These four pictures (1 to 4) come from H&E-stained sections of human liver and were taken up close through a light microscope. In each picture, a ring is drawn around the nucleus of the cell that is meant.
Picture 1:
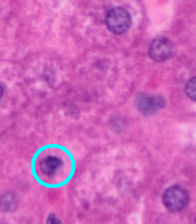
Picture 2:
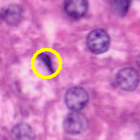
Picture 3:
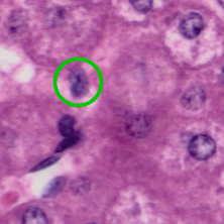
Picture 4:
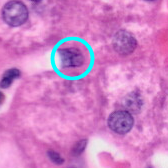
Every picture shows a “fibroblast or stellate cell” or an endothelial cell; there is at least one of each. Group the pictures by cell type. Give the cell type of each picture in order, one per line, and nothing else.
endothelial cell
fibroblast or stellate cell
endothelial cell
endothelial cell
